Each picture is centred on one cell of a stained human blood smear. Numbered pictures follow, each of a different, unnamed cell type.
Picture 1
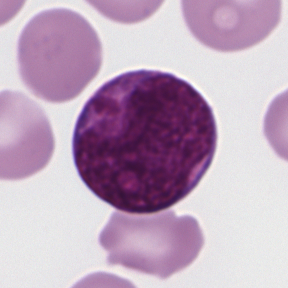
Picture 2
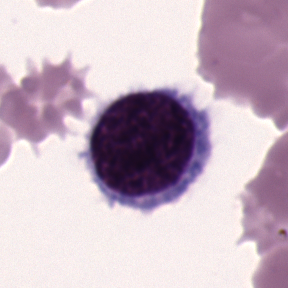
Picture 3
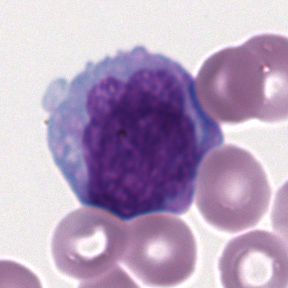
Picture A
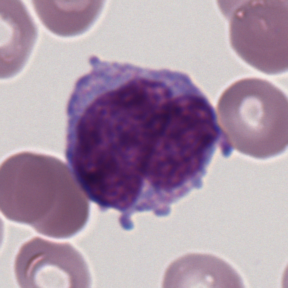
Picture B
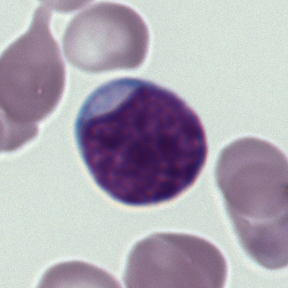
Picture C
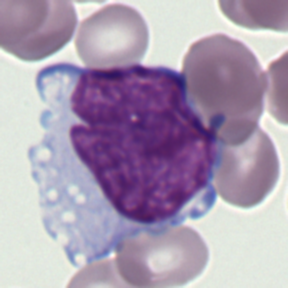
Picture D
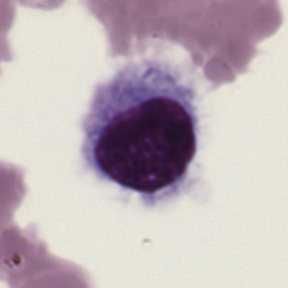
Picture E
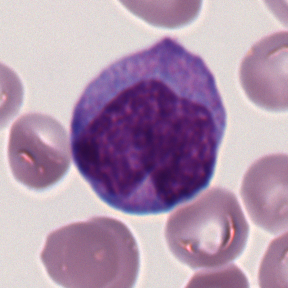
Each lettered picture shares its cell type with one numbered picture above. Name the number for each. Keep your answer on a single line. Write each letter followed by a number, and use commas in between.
A 3, B 1, C 1, D 2, E 3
